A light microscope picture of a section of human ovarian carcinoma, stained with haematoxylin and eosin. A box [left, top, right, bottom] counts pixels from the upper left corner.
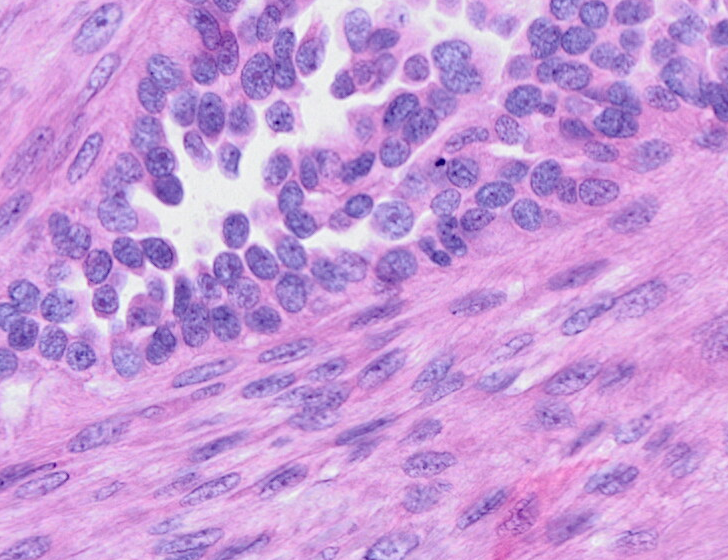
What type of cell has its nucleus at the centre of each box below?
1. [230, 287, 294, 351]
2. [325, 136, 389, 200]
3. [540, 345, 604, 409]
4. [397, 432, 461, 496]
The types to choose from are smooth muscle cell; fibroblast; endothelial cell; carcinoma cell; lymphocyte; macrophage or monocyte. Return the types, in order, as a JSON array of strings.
["carcinoma cell", "carcinoma cell", "fibroblast", "fibroblast"]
